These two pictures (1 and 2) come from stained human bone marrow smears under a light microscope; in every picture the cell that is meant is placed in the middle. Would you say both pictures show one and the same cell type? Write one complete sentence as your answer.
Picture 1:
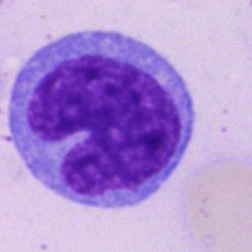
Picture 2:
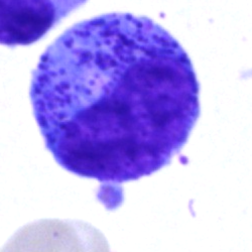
No, the types are not the same, since picture 1 shows a monocyte and picture 2 a promyelocyte.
